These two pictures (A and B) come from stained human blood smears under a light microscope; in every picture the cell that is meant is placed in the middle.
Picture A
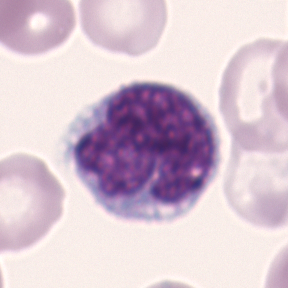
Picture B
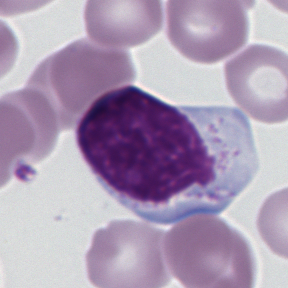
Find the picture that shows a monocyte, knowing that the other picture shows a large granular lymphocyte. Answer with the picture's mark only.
A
